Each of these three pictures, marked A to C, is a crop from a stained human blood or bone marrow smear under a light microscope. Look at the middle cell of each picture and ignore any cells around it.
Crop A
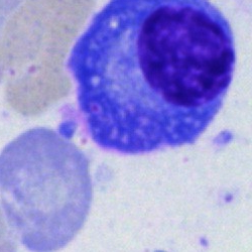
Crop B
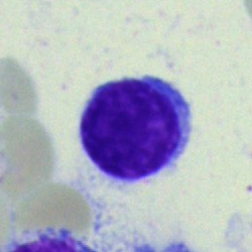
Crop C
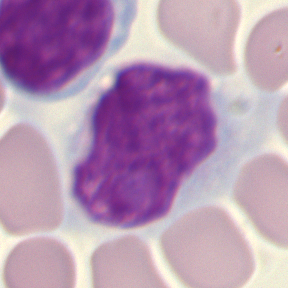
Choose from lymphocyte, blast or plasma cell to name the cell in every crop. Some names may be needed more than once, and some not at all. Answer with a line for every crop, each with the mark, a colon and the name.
A: plasma cell
B: lymphocyte
C: blast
